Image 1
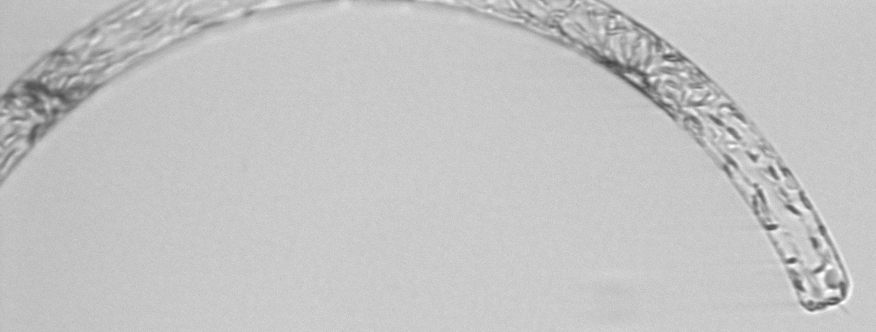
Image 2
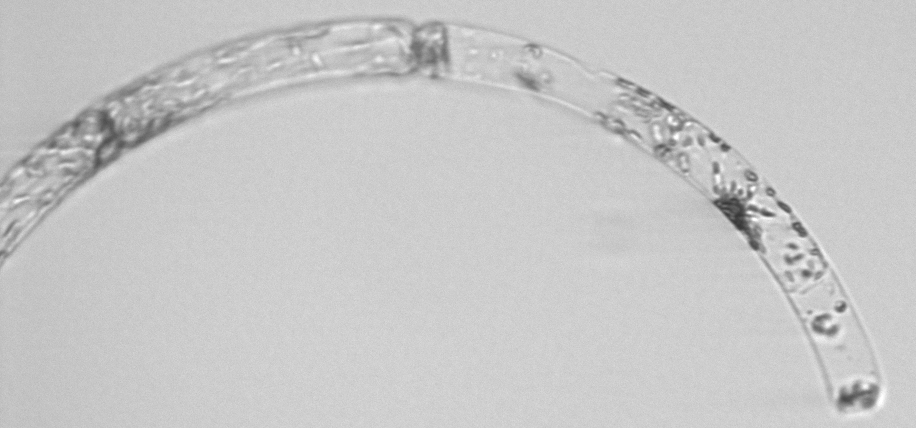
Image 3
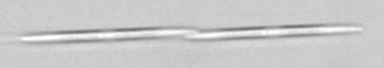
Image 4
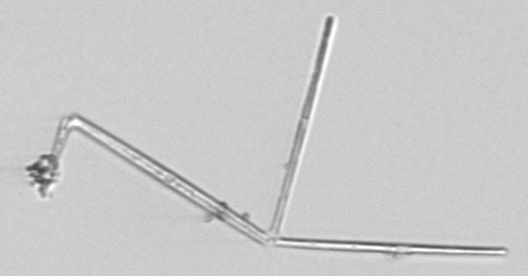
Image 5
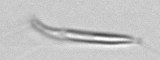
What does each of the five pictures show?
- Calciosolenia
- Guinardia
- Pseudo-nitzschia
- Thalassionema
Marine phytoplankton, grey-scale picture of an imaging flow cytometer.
1: Guinardia
2: Guinardia
3: Pseudo-nitzschia
4: Thalassionema
5: Calciosolenia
